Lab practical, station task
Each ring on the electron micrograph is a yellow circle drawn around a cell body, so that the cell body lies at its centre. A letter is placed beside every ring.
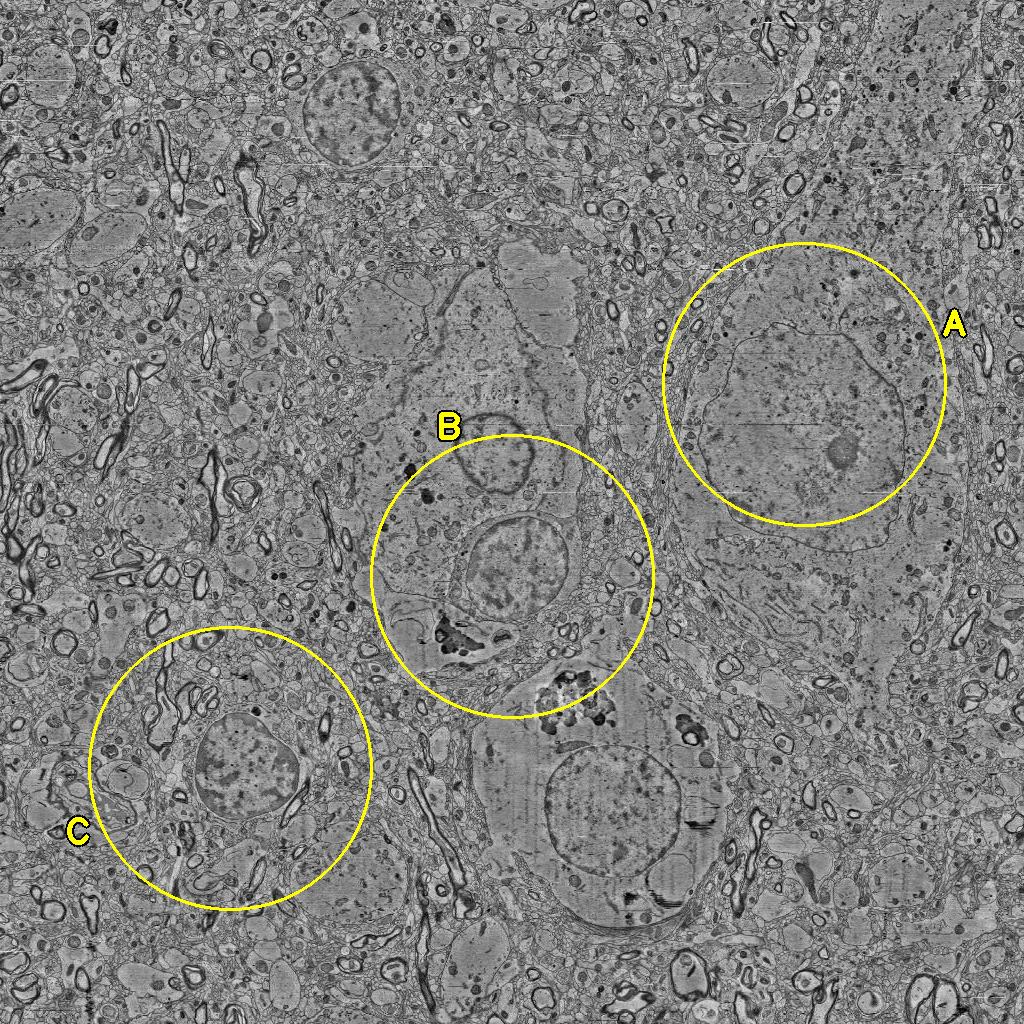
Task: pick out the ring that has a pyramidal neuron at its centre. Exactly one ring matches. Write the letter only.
A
